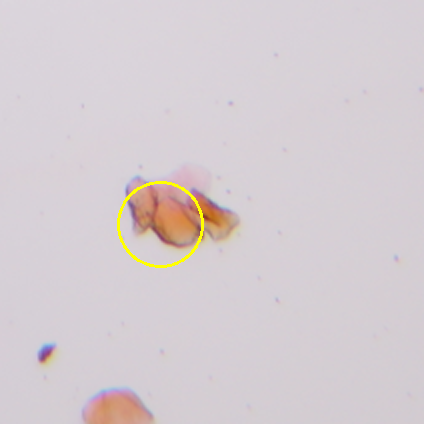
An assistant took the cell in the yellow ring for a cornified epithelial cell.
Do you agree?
I agree, it is a cornified epithelial cell.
